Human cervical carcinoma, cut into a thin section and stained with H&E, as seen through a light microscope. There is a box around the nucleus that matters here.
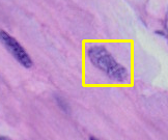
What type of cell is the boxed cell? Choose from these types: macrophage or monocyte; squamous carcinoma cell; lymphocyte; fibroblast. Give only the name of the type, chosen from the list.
fibroblast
